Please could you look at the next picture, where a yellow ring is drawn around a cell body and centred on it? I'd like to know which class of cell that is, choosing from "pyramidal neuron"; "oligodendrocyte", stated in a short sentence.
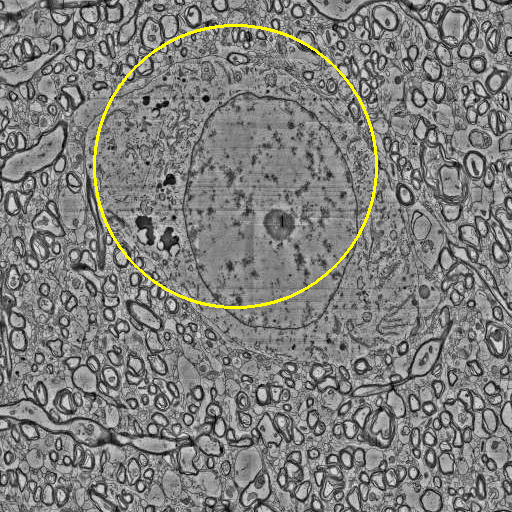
The ring's centre lies on a pyramidal neuron.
